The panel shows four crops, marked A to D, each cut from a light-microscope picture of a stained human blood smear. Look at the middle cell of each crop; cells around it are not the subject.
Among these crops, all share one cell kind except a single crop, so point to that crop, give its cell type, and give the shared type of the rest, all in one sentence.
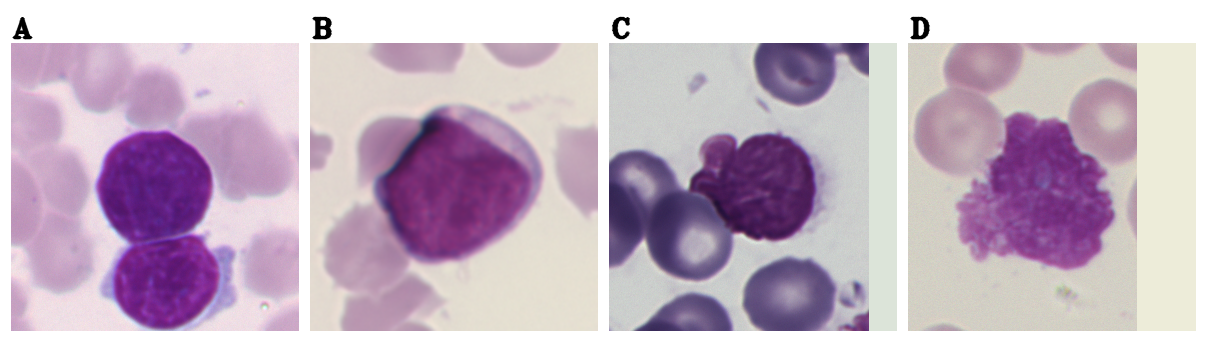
The single exception is crop D, which is a smudge cell; all other crops show myeloblasts.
